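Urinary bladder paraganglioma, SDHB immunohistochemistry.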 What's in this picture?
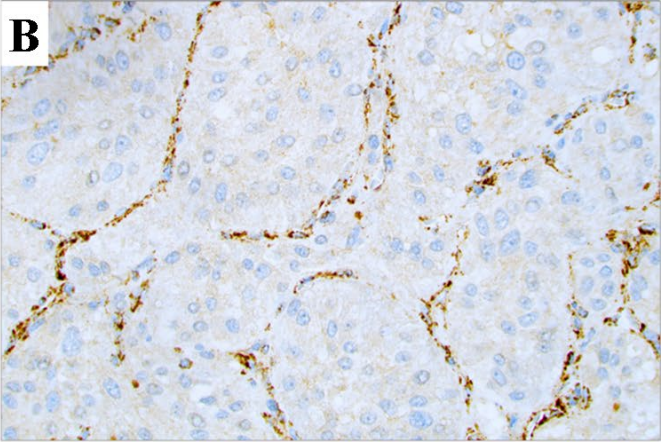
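Nests of large tumor cells with pale cytoplasm and blue oval nuclei are outlined by thin elongated sustentacular cells and stroma stained brown. The brown stain forms a delicate network around each nest, while the tumor cells inside remain unstained.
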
